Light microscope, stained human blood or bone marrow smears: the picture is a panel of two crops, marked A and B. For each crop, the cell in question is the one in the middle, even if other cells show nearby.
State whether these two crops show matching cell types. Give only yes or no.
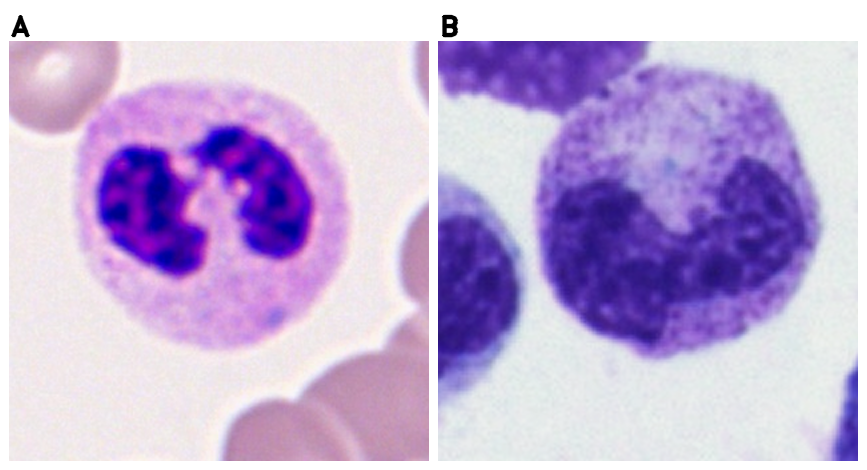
yes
